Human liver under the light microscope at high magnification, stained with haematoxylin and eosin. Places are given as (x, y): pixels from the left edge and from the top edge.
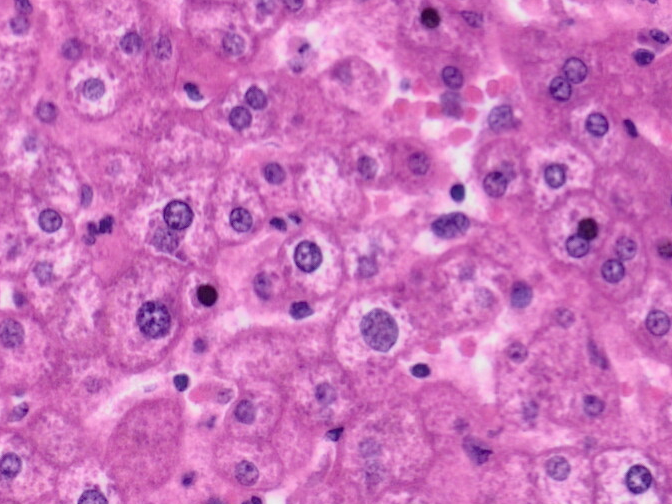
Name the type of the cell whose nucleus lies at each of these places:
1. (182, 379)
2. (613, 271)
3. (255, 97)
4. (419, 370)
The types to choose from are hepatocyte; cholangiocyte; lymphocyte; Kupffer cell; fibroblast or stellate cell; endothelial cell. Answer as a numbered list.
1. lymphocyte
2. hepatocyte
3. hepatocyte
4. lymphocyte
